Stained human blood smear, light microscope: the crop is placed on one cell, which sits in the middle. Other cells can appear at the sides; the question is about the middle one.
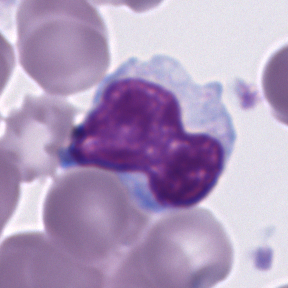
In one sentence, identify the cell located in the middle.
The central cell shown in this smear crop is a typical lymphocyte.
